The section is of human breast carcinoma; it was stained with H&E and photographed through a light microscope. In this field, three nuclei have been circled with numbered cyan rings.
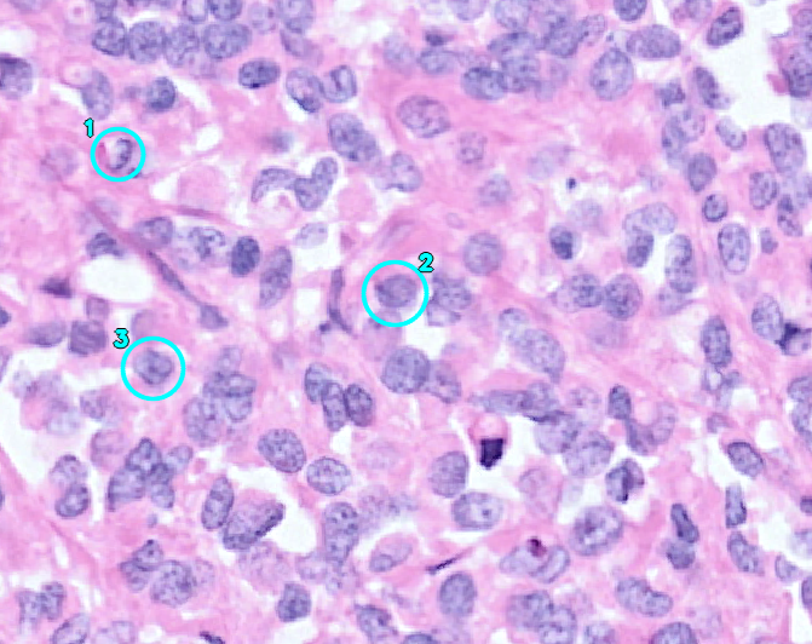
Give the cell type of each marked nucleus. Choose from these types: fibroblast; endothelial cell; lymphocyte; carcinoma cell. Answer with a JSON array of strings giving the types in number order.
["endothelial cell", "carcinoma cell", "carcinoma cell"]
